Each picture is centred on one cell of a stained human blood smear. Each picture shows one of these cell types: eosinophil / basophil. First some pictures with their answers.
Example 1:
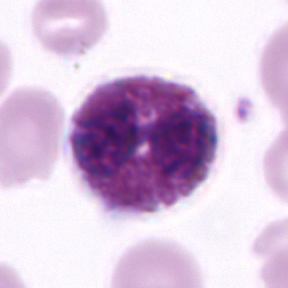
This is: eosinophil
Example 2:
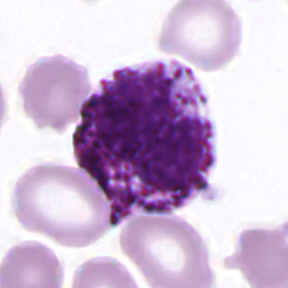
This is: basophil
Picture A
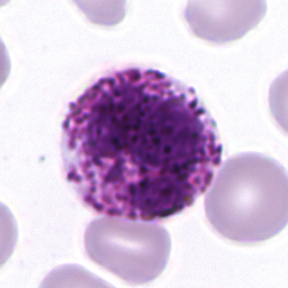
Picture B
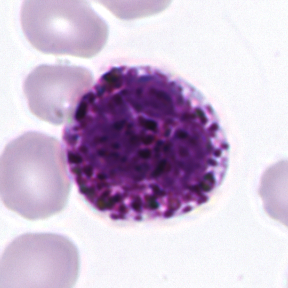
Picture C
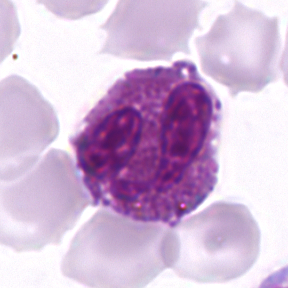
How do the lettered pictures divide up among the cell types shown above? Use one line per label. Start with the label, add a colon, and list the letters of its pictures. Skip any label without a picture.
eosinophil: C
basophil: A, B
